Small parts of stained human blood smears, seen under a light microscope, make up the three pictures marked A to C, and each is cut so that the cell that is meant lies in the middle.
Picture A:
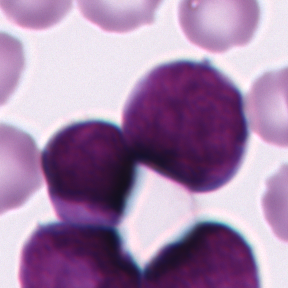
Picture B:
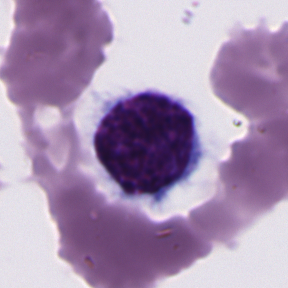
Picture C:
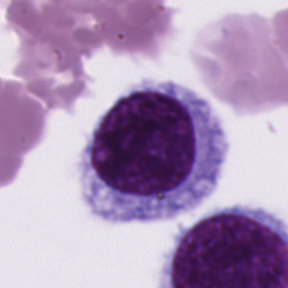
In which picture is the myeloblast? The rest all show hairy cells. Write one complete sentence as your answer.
The picture with the myeloblast is A.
